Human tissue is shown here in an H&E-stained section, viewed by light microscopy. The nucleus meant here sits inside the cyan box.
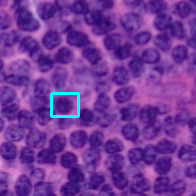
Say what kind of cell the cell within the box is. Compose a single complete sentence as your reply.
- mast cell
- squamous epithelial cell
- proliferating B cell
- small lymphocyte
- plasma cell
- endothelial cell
Speaking plainly, the cell within the box is nothing other than a small lymphocyte.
